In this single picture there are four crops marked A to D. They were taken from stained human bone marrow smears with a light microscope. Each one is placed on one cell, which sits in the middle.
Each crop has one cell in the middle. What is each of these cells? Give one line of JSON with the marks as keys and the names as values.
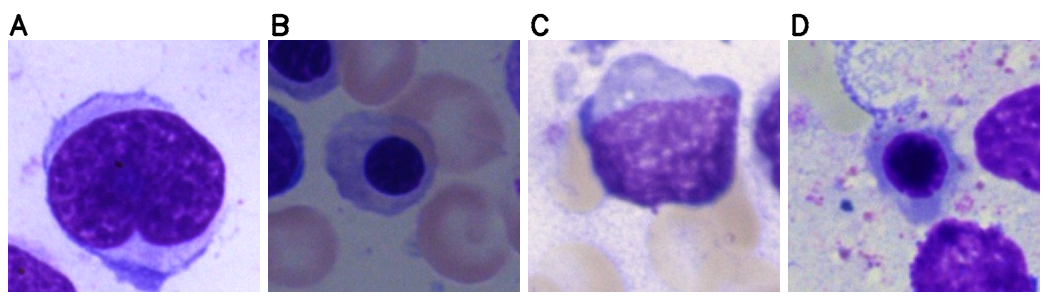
{"A": "blast", "B": "erythroblast", "C": "blast", "D": "erythroblast"}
